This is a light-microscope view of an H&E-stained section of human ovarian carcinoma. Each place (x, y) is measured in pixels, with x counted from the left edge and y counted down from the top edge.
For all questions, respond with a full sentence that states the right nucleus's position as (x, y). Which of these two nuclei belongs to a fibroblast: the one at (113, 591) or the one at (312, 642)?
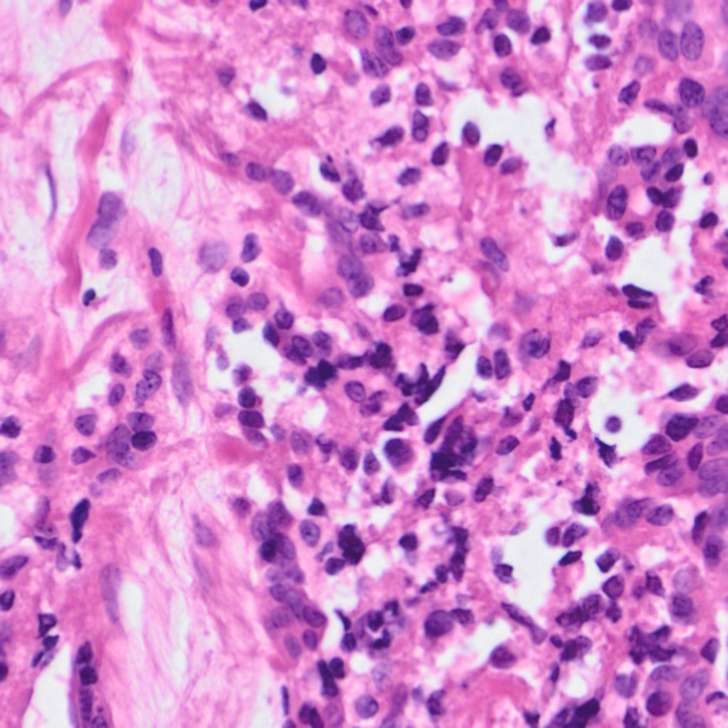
Housed in a fibroblast is the nucleus at (113, 591), not the other one.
